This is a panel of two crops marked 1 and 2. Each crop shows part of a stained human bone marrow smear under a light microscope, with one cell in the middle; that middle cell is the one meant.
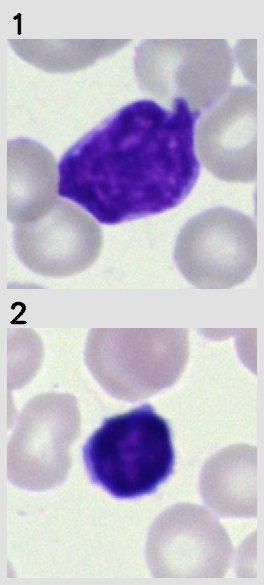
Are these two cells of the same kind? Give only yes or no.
no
